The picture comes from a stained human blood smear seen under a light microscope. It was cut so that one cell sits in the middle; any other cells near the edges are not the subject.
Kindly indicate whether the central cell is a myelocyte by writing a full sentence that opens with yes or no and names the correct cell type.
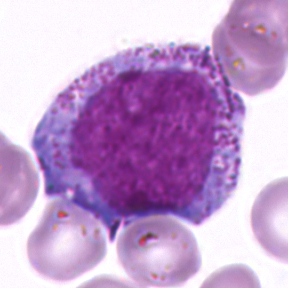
No, the central cell qualifies as a promyelocyte rather than as a myelocyte.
